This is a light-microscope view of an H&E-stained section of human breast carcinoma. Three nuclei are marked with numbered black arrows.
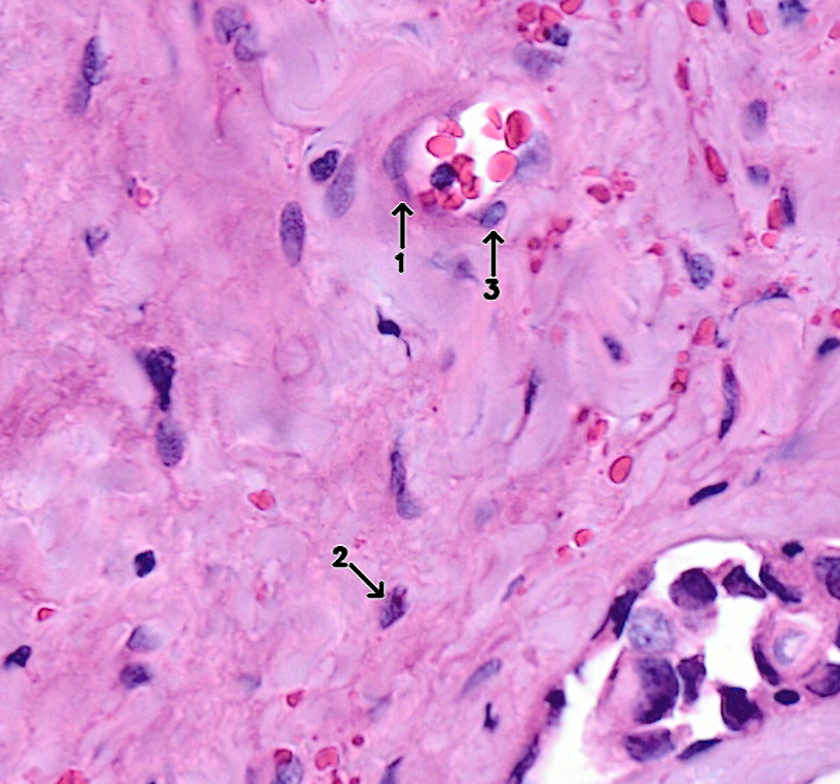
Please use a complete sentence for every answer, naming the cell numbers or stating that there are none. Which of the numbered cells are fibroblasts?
Nothing but cell 2 is a fibroblast among the numbered ones.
